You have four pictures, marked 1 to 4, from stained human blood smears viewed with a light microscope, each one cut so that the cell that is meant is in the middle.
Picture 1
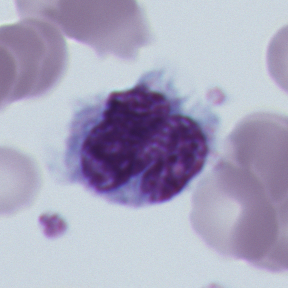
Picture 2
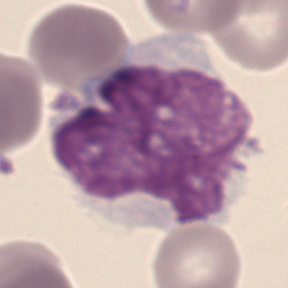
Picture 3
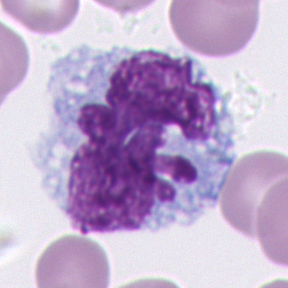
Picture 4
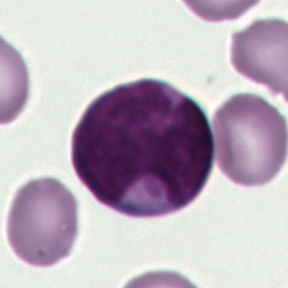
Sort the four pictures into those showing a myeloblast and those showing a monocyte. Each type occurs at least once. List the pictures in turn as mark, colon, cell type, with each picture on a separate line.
1: monocyte
2: monocyte
3: monocyte
4: myeloblast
